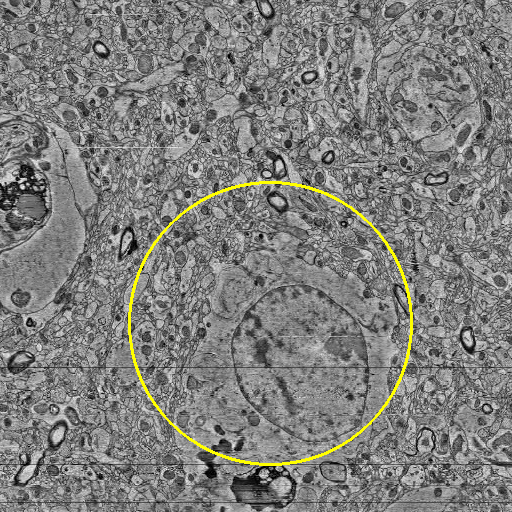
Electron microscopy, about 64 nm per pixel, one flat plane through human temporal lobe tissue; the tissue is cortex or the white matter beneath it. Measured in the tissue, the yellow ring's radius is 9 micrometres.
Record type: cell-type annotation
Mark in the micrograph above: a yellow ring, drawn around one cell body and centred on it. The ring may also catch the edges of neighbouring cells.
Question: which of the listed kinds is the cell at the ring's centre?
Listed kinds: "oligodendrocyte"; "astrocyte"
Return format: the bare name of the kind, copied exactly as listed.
astrocyte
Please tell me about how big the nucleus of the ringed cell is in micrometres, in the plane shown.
The nucleus comes to roughly 11 by 9 micrometres in this plane.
